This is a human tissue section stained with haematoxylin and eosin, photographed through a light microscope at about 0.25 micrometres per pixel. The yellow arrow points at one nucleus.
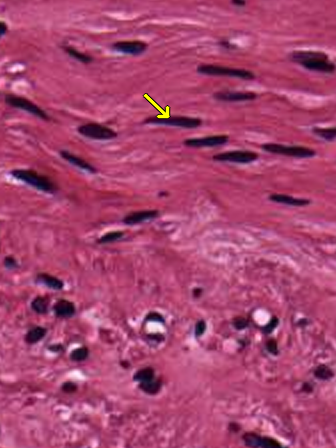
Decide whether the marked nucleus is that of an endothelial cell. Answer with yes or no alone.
no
